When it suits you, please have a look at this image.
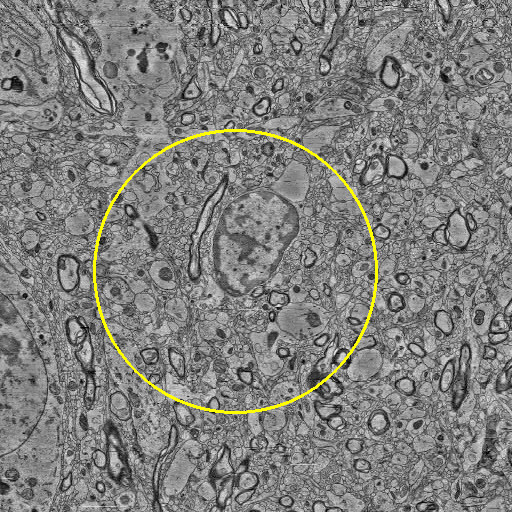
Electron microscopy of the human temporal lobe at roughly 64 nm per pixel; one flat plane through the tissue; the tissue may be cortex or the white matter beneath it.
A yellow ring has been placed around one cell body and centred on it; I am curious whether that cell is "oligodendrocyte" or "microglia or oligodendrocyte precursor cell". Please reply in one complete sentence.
The ringed cell, a microglial cell or oligodendrocyte precursor cell, has its body at the centre of the yellow ring.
